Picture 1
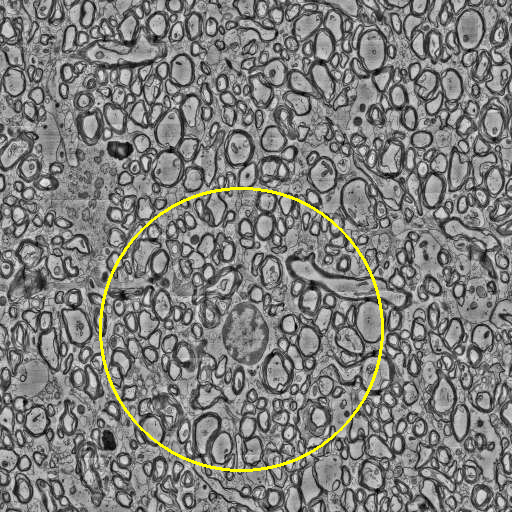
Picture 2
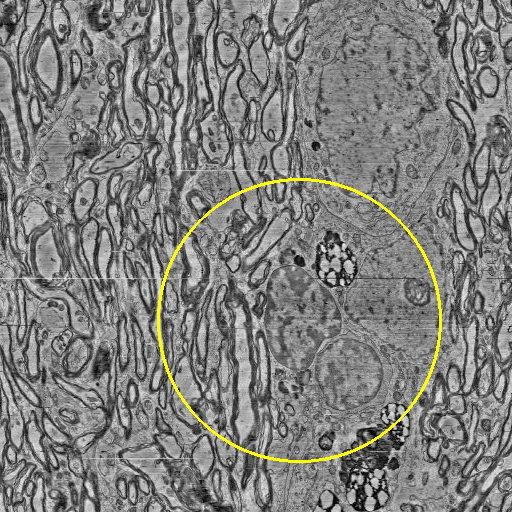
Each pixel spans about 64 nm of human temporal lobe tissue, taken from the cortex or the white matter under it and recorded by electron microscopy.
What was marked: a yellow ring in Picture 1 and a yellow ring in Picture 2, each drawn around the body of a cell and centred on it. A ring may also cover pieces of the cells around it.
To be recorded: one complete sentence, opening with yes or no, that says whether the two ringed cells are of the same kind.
Yes, the two ringed cells are of the same kind.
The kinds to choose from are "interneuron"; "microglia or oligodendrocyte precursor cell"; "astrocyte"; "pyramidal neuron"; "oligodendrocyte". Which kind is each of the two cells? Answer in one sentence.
The cell in the first picture is a microglial cell or oligodendrocyte precursor cell, and so is the one in the second.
